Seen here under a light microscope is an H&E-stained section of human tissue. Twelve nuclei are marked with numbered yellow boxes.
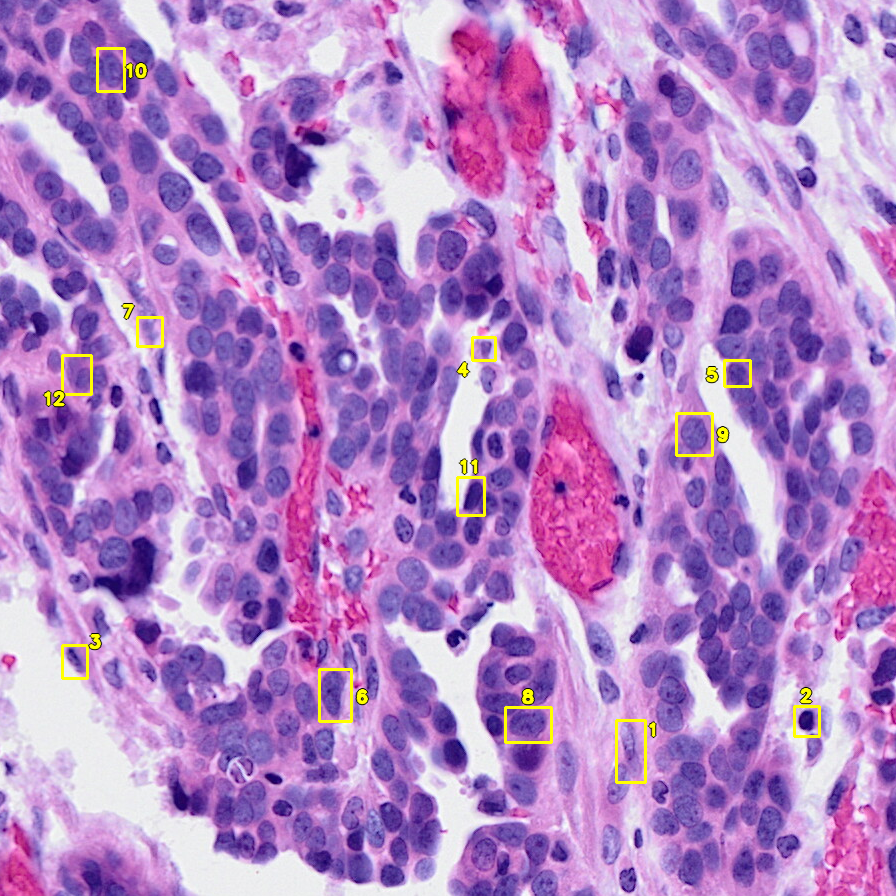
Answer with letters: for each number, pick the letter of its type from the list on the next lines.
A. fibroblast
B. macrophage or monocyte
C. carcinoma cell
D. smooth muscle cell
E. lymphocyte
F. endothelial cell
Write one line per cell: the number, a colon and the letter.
1: A
2: E
3: F
4: B
5: C
6: C
7: A
8: C
9: C
10: C
11: C
12: C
